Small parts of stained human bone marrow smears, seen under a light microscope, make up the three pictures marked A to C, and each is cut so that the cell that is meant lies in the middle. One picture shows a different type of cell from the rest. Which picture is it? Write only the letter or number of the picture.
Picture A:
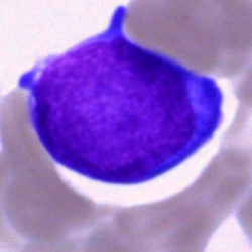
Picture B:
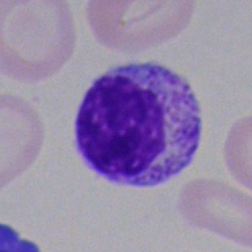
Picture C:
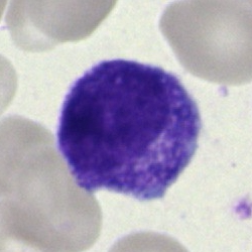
A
